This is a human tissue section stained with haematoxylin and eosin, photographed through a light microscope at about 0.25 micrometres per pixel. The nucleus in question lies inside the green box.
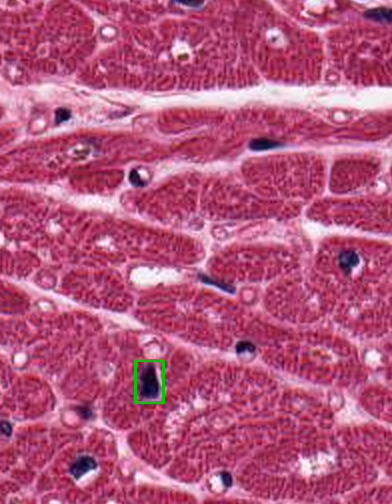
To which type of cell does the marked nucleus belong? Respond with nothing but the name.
cardiomyocyte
